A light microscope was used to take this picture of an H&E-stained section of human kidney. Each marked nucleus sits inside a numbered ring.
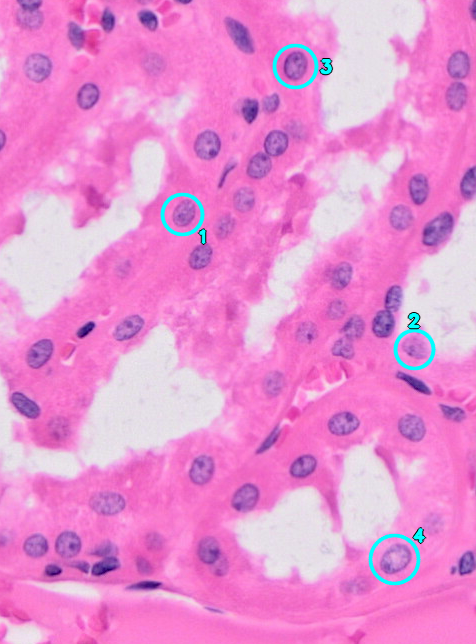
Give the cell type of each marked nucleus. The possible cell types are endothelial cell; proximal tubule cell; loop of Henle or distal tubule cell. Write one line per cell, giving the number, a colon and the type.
1: proximal tubule cell
2: loop of Henle or distal tubule cell
3: proximal tubule cell
4: proximal tubule cell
